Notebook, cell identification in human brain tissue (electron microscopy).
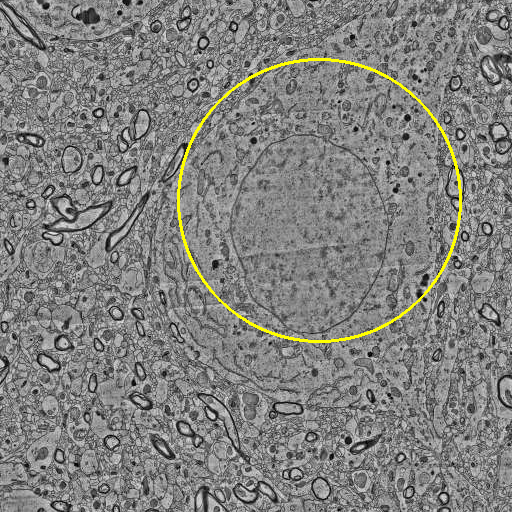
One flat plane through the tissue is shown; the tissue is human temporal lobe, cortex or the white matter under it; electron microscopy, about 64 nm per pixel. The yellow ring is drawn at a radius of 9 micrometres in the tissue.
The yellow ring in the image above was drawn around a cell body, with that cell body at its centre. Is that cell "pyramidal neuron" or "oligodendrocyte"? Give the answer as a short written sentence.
The cell in the ring is a pyramidal neuron.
